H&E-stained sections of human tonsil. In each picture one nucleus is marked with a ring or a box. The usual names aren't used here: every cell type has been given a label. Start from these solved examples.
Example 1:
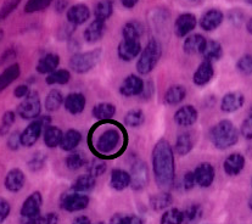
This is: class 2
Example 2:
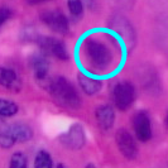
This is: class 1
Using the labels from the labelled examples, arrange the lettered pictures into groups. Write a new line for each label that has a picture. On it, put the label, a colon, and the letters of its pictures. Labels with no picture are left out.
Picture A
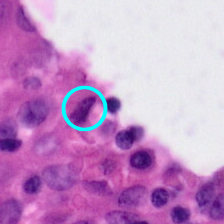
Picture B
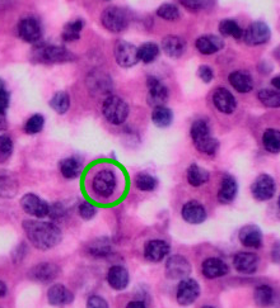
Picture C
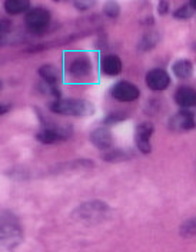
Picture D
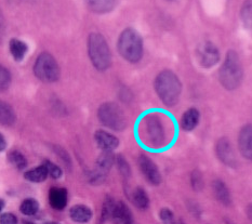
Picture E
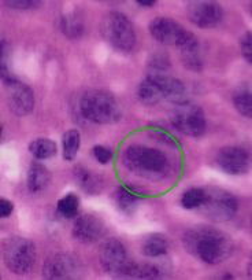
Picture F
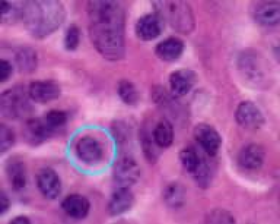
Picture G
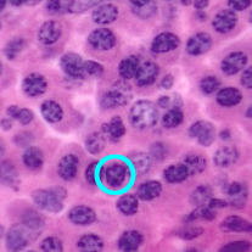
class 2: B, C, F, G
class 1: A, D, E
